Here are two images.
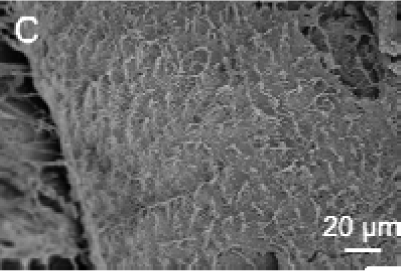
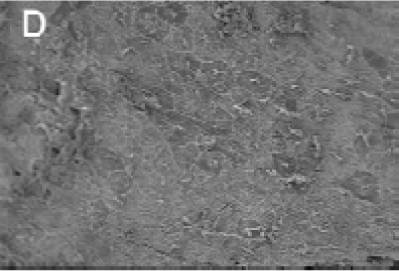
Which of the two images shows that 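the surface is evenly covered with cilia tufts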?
the first image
